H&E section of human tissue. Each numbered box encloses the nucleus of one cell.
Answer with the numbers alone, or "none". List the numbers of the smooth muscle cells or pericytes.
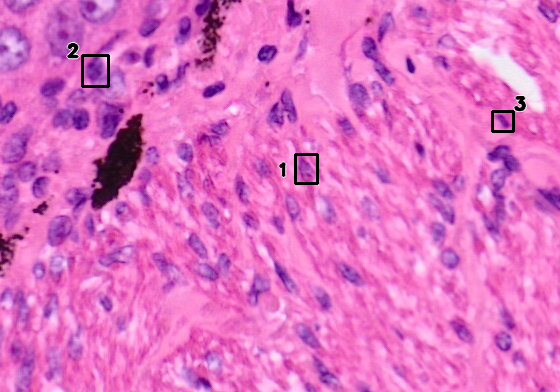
1, 3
